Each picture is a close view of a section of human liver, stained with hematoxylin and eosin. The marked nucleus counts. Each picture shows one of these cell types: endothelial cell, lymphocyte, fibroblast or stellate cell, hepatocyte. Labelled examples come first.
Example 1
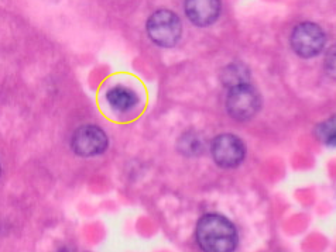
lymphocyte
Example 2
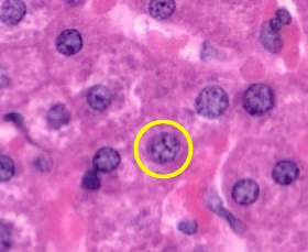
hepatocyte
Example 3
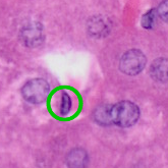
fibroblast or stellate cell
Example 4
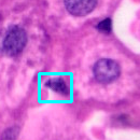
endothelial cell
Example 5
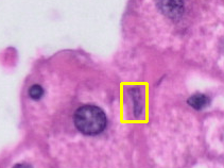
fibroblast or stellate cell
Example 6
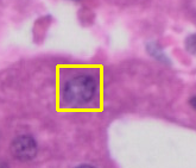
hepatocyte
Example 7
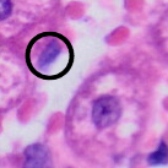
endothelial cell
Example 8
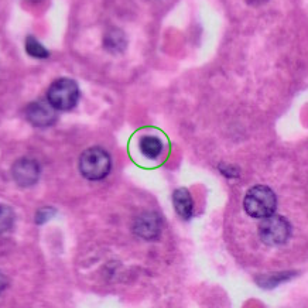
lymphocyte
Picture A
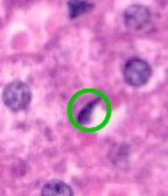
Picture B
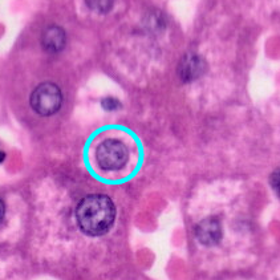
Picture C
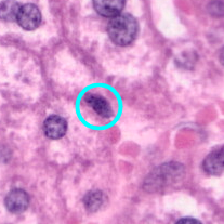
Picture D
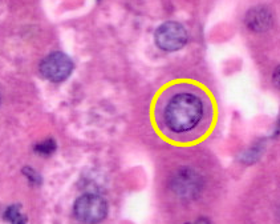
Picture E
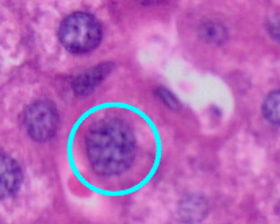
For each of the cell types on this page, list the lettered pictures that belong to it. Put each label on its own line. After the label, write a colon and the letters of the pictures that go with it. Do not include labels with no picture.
endothelial cell: A
fibroblast or stellate cell: C
hepatocyte: B, D, E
